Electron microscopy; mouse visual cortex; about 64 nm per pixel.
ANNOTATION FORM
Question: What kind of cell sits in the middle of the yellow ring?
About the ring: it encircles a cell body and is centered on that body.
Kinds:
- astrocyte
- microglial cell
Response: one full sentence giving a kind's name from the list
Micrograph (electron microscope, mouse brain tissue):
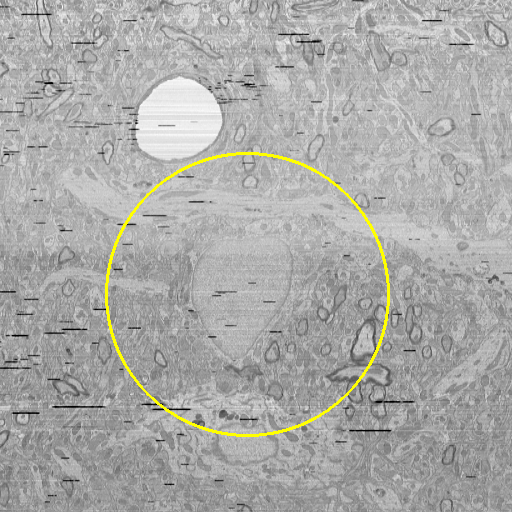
The kind of cell found at the center of the yellow ring in the micrograph is an astrocyte.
